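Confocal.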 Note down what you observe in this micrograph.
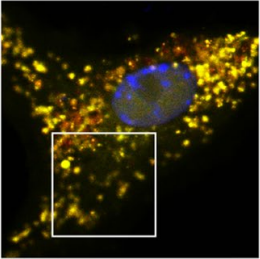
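The cell is spread out with a broad, irregular cytoplasm extending in several directions from a central oval nucleus, which is stained blue. The puncta vary from fine dots to larger rounded bodies and clusters, densest around the nucleus and along the cytoplasmic extensions. Almost all puncta appear yellow; dots that are red alone are scarce.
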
